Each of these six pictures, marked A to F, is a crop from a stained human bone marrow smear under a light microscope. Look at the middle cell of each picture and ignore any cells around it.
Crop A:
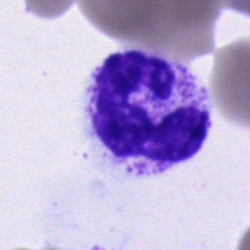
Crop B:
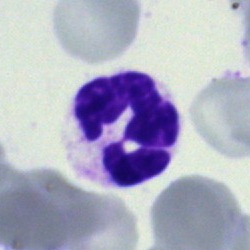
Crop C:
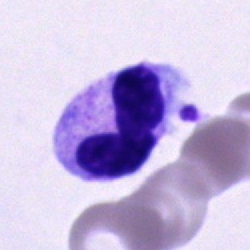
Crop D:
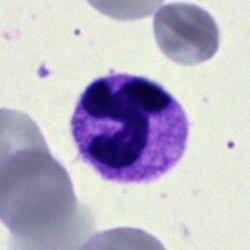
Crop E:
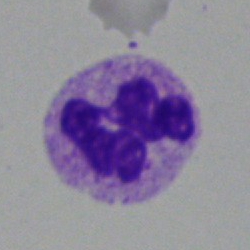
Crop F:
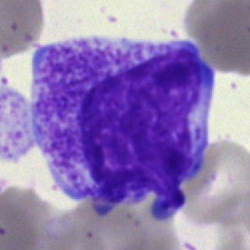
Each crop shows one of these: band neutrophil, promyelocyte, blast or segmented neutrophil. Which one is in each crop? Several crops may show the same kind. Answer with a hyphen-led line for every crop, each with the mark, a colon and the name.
- A: segmented neutrophil
- B: segmented neutrophil
- C: band neutrophil
- D: segmented neutrophil
- E: segmented neutrophil
- F: promyelocyte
